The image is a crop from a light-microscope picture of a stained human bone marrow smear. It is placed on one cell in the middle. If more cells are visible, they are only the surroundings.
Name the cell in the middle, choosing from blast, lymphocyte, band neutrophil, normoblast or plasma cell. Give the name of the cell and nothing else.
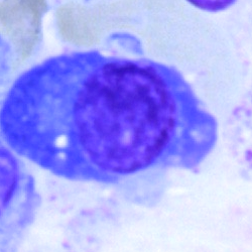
plasma cell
